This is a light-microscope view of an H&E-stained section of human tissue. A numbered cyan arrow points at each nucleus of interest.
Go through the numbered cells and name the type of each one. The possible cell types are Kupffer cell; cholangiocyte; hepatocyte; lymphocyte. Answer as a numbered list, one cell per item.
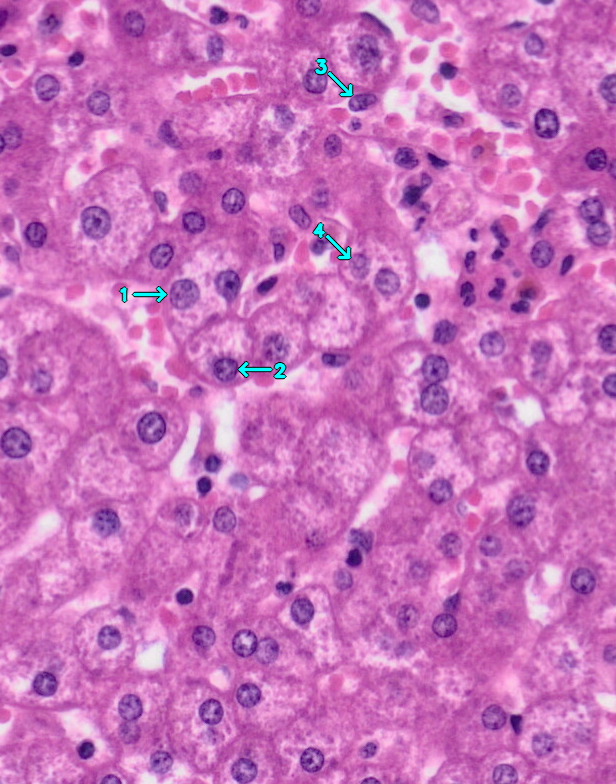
1. hepatocyte
2. hepatocyte
3. Kupffer cell
4. hepatocyte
